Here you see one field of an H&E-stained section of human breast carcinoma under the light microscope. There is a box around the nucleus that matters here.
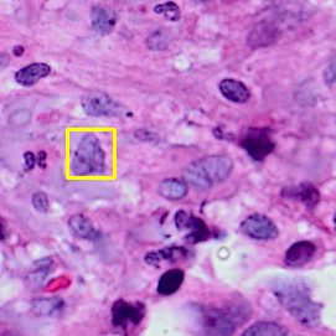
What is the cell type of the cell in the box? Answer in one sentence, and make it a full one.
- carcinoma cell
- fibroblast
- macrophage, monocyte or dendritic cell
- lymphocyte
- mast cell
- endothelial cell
In the stained section, the cell in the box is a macrophage, monocyte or dendritic cell.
